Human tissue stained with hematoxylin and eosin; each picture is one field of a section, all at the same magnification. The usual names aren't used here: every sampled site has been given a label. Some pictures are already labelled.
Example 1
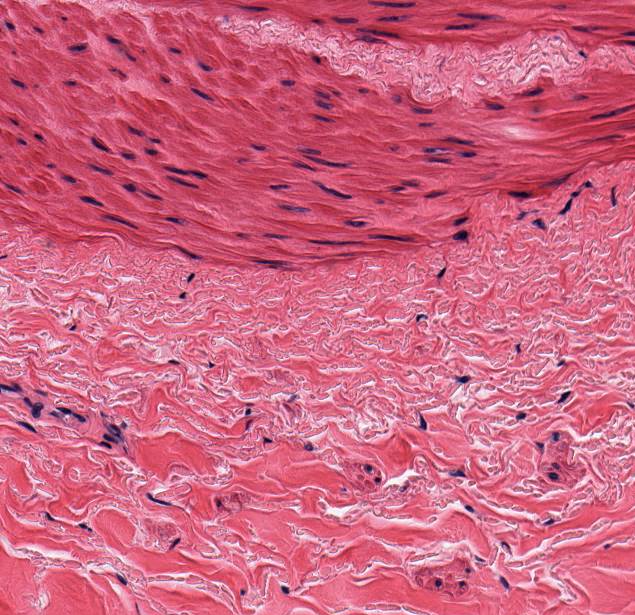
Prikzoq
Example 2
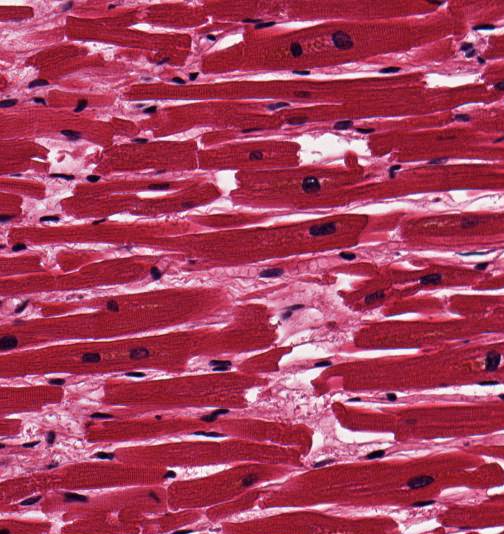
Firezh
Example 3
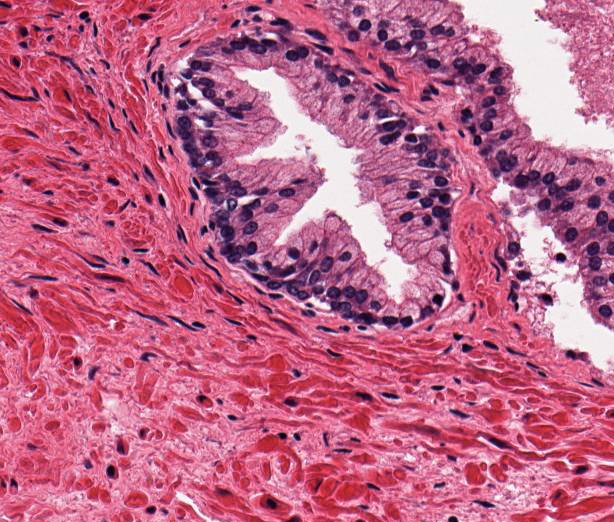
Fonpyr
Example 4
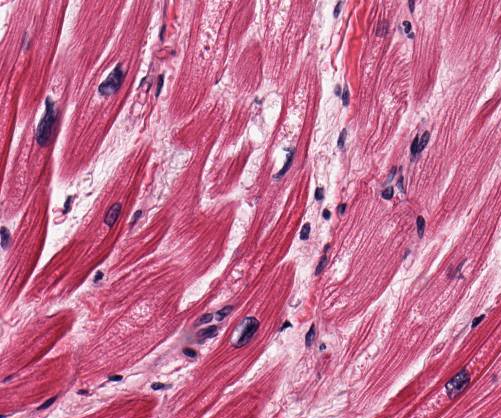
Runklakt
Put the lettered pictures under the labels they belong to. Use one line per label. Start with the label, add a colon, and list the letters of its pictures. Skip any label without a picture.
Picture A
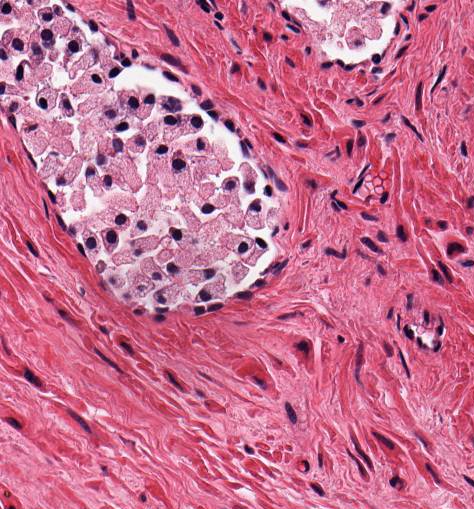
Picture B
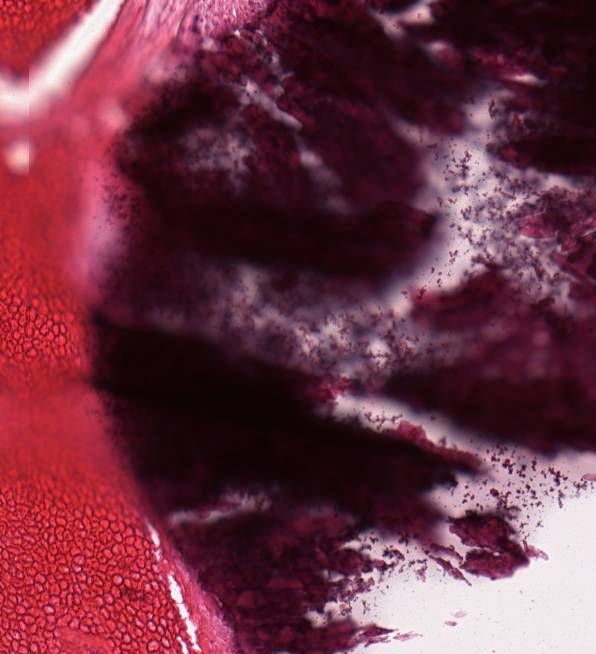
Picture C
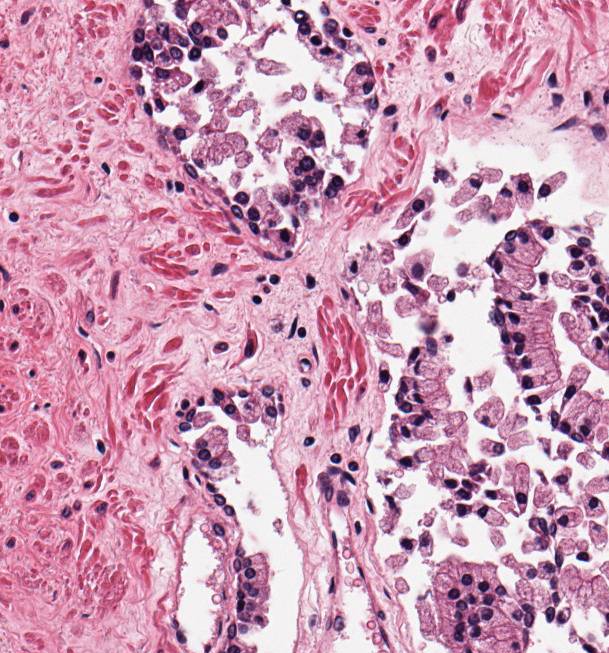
Prikzoq: B
Fonpyr: A, C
